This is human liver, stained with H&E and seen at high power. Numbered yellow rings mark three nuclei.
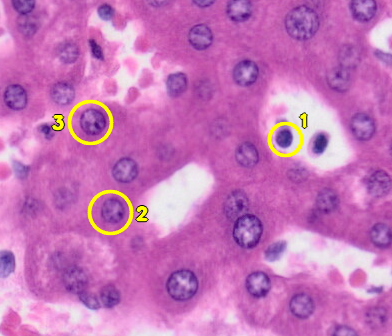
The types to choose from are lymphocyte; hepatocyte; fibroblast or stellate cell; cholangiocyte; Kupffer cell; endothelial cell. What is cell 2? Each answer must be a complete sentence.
The cell that is numbered 2 is a hepatocyte.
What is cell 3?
Here the cell numbered 3 is a hepatocyte.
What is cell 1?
The cell that carries the label 1 is a lymphocyte.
